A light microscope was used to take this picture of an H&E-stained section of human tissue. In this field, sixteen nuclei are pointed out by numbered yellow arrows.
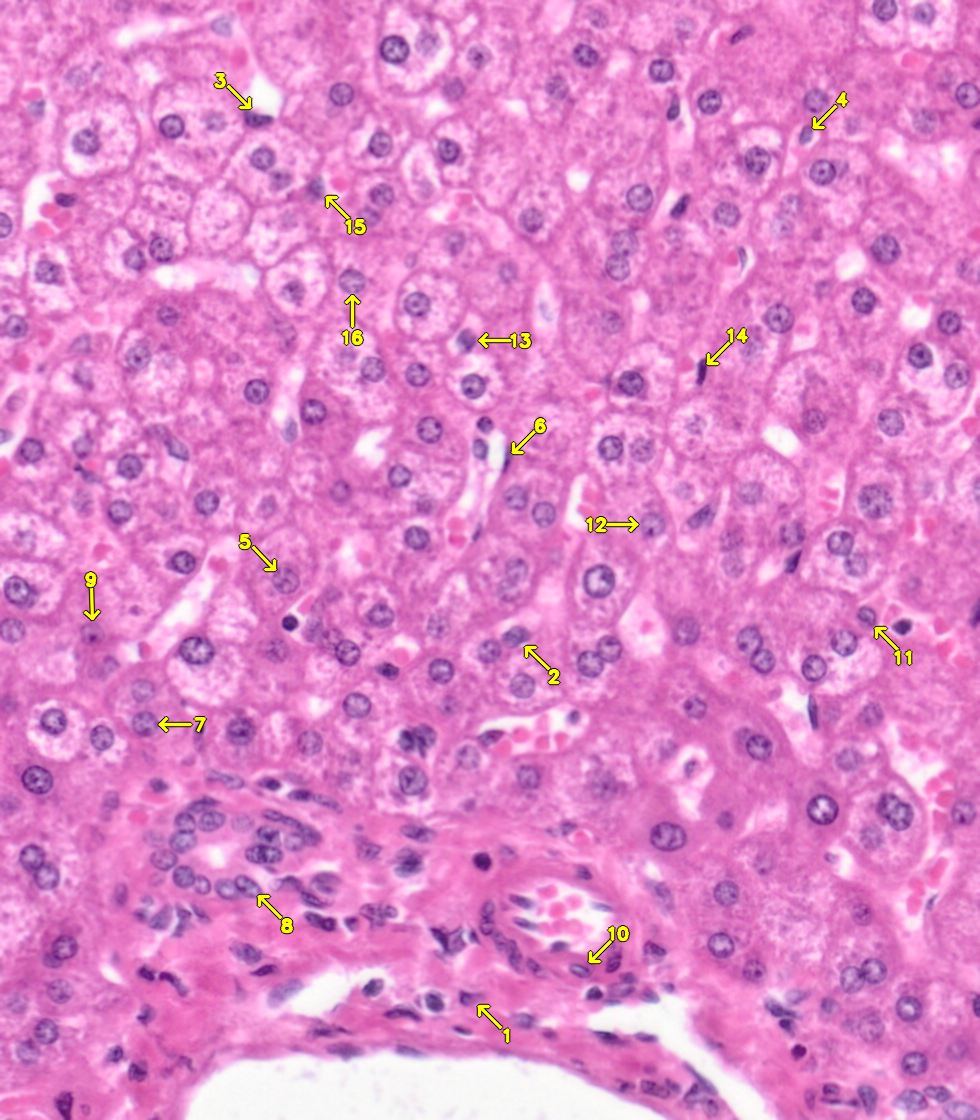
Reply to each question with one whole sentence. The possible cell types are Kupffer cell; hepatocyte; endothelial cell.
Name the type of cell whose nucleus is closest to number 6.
The nucleus nearest to number 6 is that of a Kupffer cell.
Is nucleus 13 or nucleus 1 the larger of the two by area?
It is nucleus 13, which covers about 2 times the area of nucleus 1.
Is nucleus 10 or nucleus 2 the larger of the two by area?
Nucleus 2 is larger, with an area about 1.5 times that of nucleus 10.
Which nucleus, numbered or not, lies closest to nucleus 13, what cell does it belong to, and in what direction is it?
A hepatocyte lies closest, below nucleus 13.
